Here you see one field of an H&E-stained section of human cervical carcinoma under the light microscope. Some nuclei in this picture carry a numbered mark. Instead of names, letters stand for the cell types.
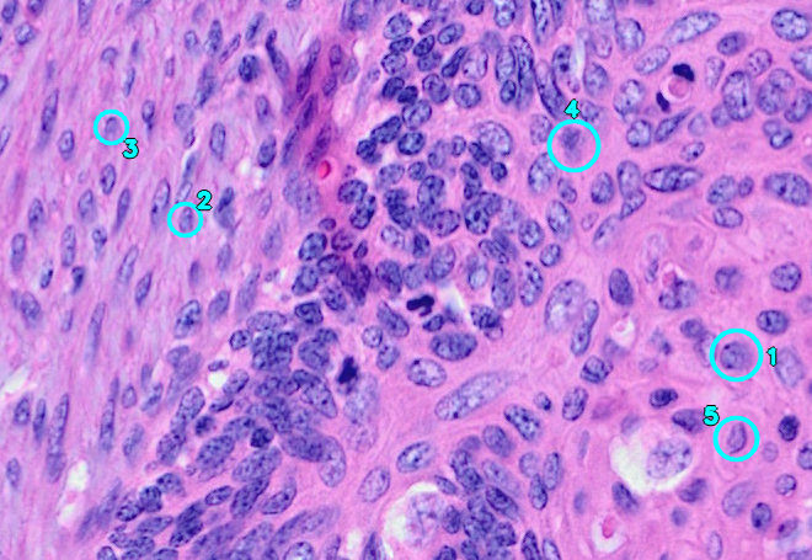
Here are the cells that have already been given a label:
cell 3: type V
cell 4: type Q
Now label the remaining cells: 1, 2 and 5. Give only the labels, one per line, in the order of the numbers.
type Q
type V
type Q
